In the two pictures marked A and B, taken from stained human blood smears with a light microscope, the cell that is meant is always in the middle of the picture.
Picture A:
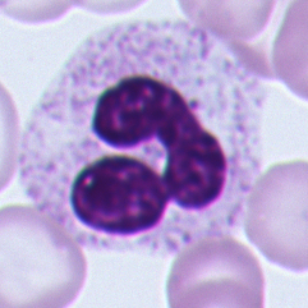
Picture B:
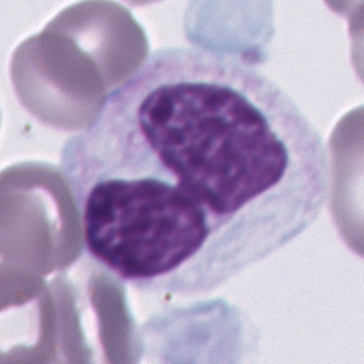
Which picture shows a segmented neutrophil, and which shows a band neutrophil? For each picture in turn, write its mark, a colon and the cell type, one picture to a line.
A: segmented neutrophil
B: band neutrophil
